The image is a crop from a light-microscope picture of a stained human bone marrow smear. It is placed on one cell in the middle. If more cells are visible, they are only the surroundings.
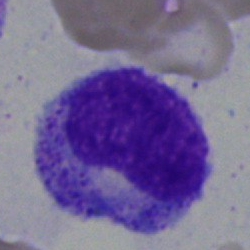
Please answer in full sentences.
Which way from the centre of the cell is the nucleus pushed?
The nucleus is pushed toward the upper right of the cell.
